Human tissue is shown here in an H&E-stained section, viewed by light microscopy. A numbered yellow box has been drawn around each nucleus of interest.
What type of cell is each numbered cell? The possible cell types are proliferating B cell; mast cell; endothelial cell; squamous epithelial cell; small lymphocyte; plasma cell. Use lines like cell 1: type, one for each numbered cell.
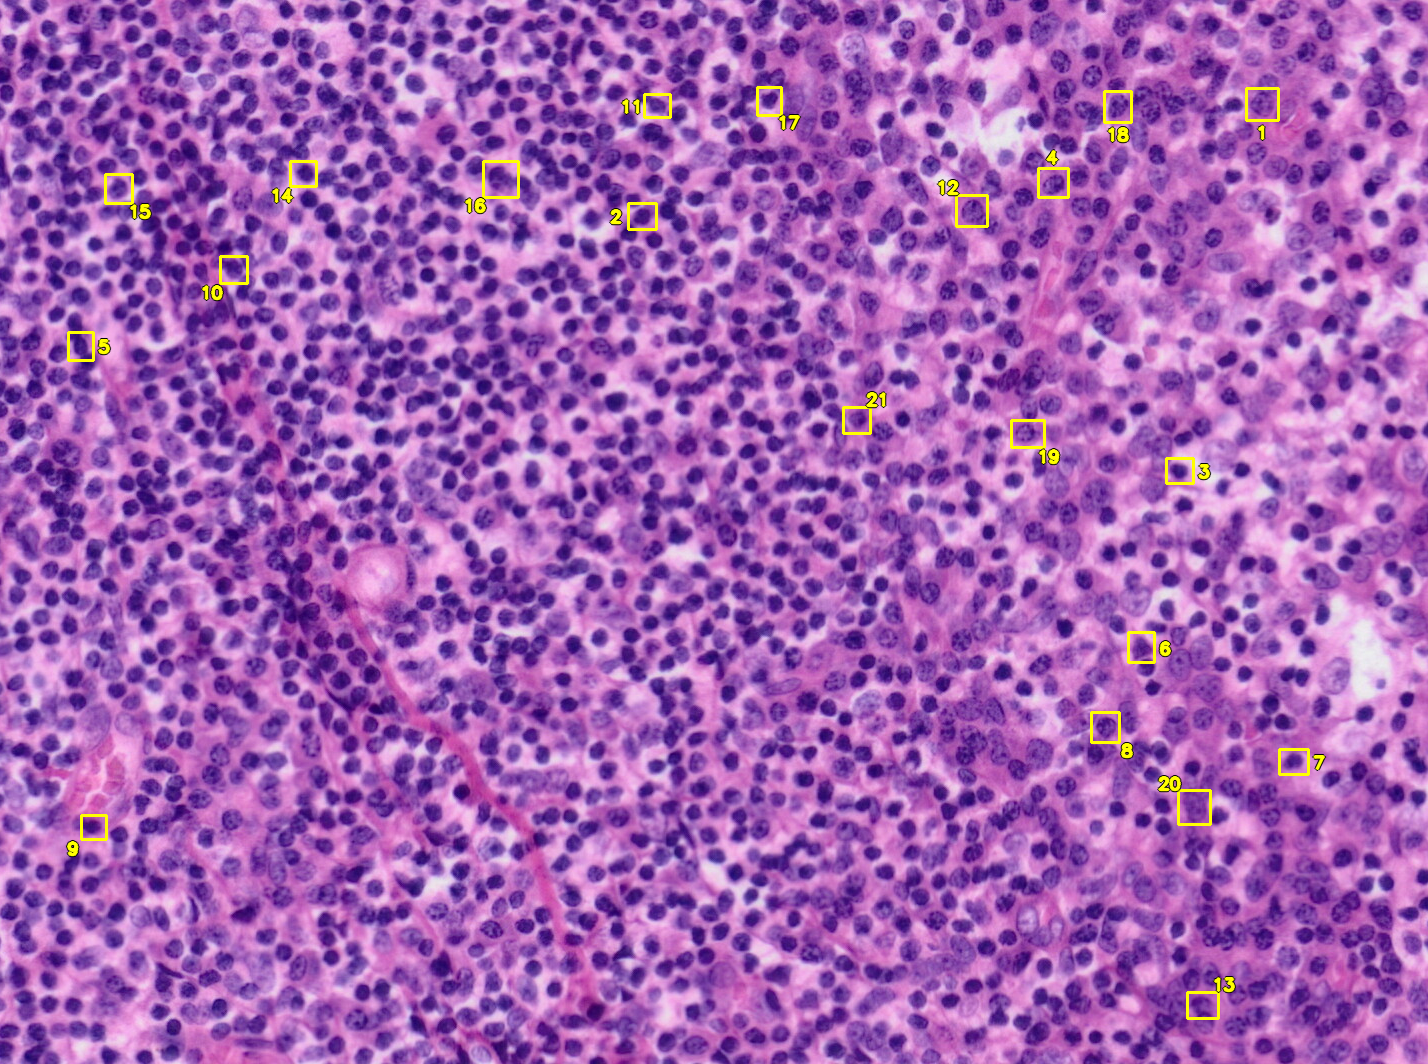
cell 1: plasma cell
cell 2: small lymphocyte
cell 3: squamous epithelial cell
cell 4: plasma cell
cell 5: small lymphocyte
cell 6: squamous epithelial cell
cell 7: squamous epithelial cell
cell 8: plasma cell
cell 9: endothelial cell
cell 10: small lymphocyte
cell 11: small lymphocyte
cell 12: plasma cell
cell 13: plasma cell
cell 14: small lymphocyte
cell 15: small lymphocyte
cell 16: proliferating B cell
cell 17: small lymphocyte
cell 18: plasma cell
cell 19: plasma cell
cell 20: squamous epithelial cell
cell 21: plasma cell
